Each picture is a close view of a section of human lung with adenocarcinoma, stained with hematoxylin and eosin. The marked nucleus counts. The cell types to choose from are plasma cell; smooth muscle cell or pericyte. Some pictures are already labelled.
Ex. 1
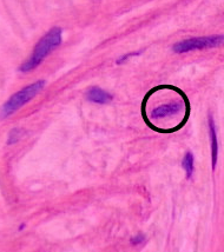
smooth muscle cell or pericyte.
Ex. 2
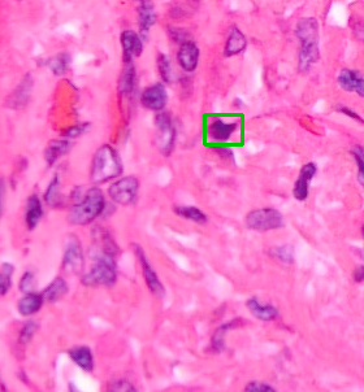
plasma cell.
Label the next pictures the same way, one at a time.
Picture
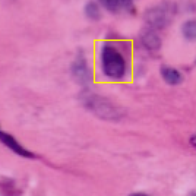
plasma cell.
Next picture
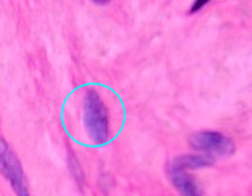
smooth muscle cell or pericyte.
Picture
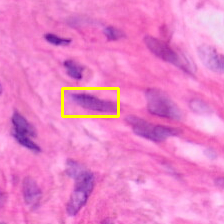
smooth muscle cell or pericyte.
